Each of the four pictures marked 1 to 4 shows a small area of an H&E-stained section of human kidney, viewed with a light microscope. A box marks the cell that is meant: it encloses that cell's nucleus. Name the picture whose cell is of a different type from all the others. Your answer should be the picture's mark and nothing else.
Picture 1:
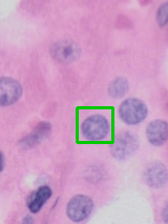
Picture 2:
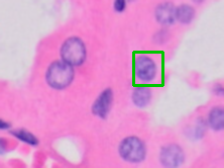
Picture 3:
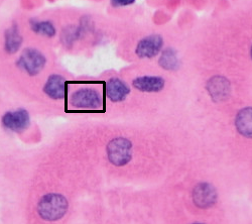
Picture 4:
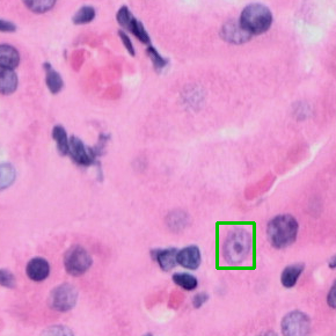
4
